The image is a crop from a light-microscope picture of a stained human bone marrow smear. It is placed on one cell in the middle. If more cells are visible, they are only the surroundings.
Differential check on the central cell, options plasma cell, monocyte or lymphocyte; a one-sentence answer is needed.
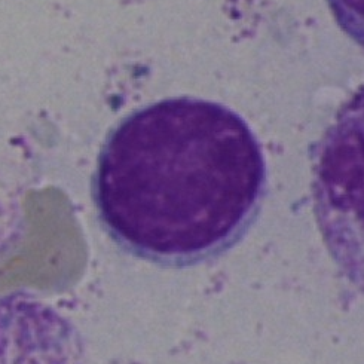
The central cell shown in this smear crop is a lymphocyte.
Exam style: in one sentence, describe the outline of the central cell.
Worth noting that the cell border is smooth and lacks projections.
